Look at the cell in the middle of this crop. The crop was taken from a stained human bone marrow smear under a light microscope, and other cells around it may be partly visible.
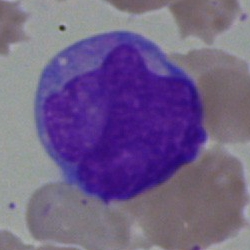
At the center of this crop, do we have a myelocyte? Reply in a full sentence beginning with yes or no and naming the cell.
No, the correct answer for the middle cell is a blast, not a myelocyte.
